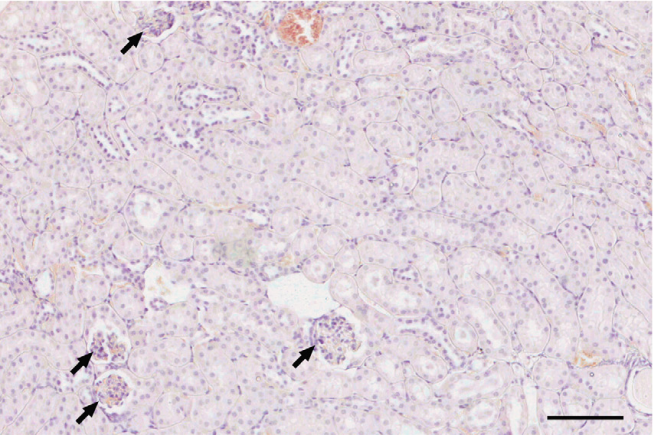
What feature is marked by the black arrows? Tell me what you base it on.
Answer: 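The arrows point at small round tufts of densely packed nuclei. Each tuft sits within a thin rim separated from it by a narrow clear space. The tufts lie scattered among cross-sectioned tubules.
Glomeruli.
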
